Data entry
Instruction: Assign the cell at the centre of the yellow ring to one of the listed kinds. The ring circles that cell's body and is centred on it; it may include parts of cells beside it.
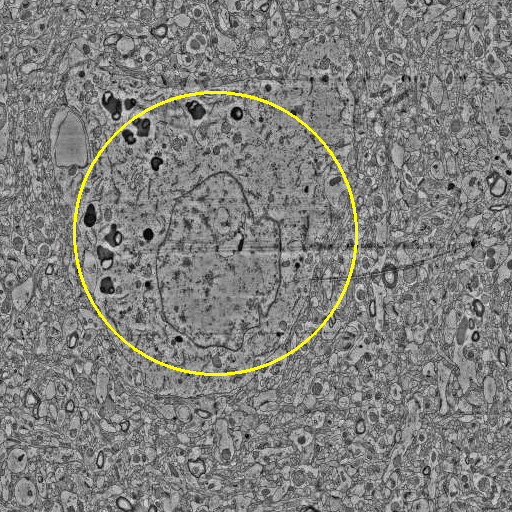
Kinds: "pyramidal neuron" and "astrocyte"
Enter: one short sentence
The centre of the ring falls on a pyramidal neuron.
